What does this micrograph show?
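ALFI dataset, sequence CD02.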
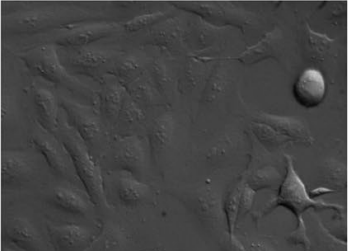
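A field of cultured cells seen in differential interference contrast, most of them flat and spread on the substrate. The spread cells are elongated or polygonal, with oval nuclei visible as smooth raised areas and granular cytoplasm around them. At the upper right a single cell is rounded up into a smooth, bright oval body that stands out in relief from its flat neighbours. Toward the lower right a larger cell with several long pointed processes is spread on the surface.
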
